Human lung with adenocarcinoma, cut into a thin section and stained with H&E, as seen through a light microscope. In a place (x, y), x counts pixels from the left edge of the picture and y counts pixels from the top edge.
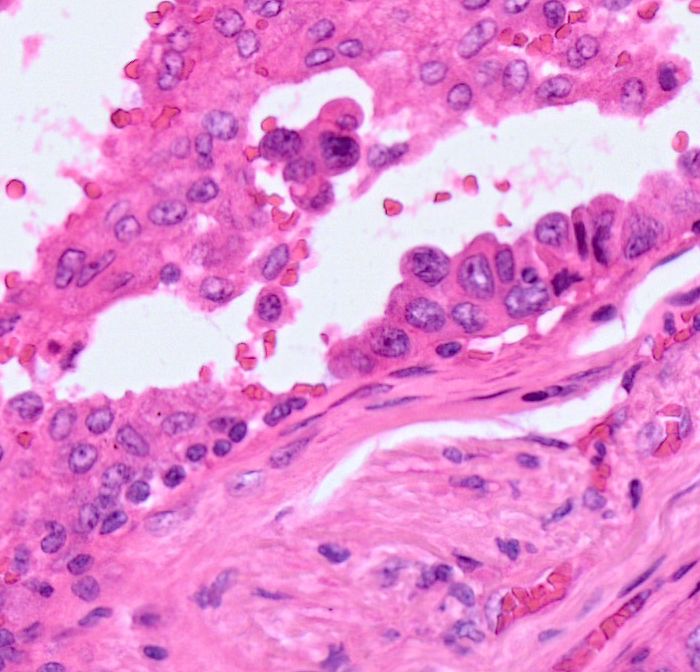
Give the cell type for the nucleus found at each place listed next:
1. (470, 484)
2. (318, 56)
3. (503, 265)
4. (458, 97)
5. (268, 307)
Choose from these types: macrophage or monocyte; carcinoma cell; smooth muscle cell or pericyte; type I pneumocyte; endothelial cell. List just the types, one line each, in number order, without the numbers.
smooth muscle cell or pericyte
macrophage or monocyte
carcinoma cell
macrophage or monocyte
macrophage or monocyte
